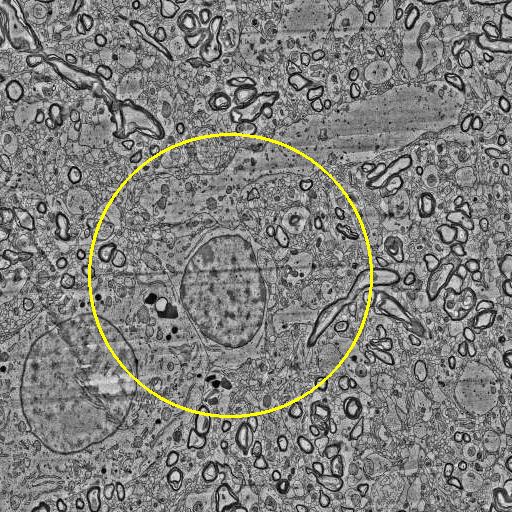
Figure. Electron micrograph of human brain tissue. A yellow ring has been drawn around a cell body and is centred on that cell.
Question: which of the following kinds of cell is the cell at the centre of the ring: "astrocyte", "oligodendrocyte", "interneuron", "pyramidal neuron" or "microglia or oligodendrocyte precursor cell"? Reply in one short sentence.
The cell at the centre of the ring is a microglial cell or oligodendrocyte precursor cell.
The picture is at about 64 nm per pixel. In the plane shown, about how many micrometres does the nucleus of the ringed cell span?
Approximately 7 by 5 micrometers in this plane.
